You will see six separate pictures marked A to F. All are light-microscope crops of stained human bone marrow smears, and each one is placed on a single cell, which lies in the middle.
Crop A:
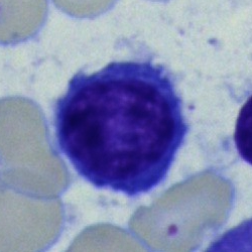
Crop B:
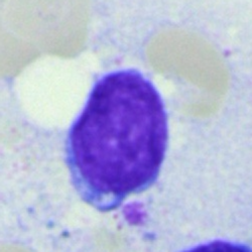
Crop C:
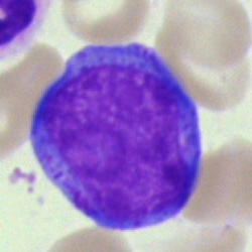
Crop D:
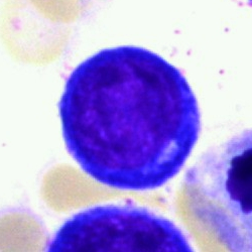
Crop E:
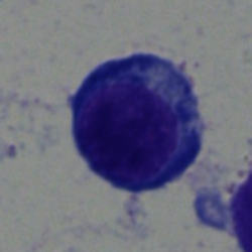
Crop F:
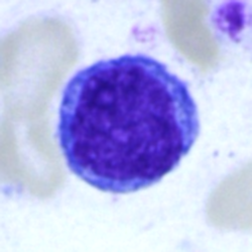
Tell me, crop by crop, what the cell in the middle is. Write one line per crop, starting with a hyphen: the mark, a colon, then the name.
- A: lymphocyte
- B: lymphocyte
- C: proerythroblast
- D: proerythroblast
- E: proerythroblast
- F: lymphocyte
